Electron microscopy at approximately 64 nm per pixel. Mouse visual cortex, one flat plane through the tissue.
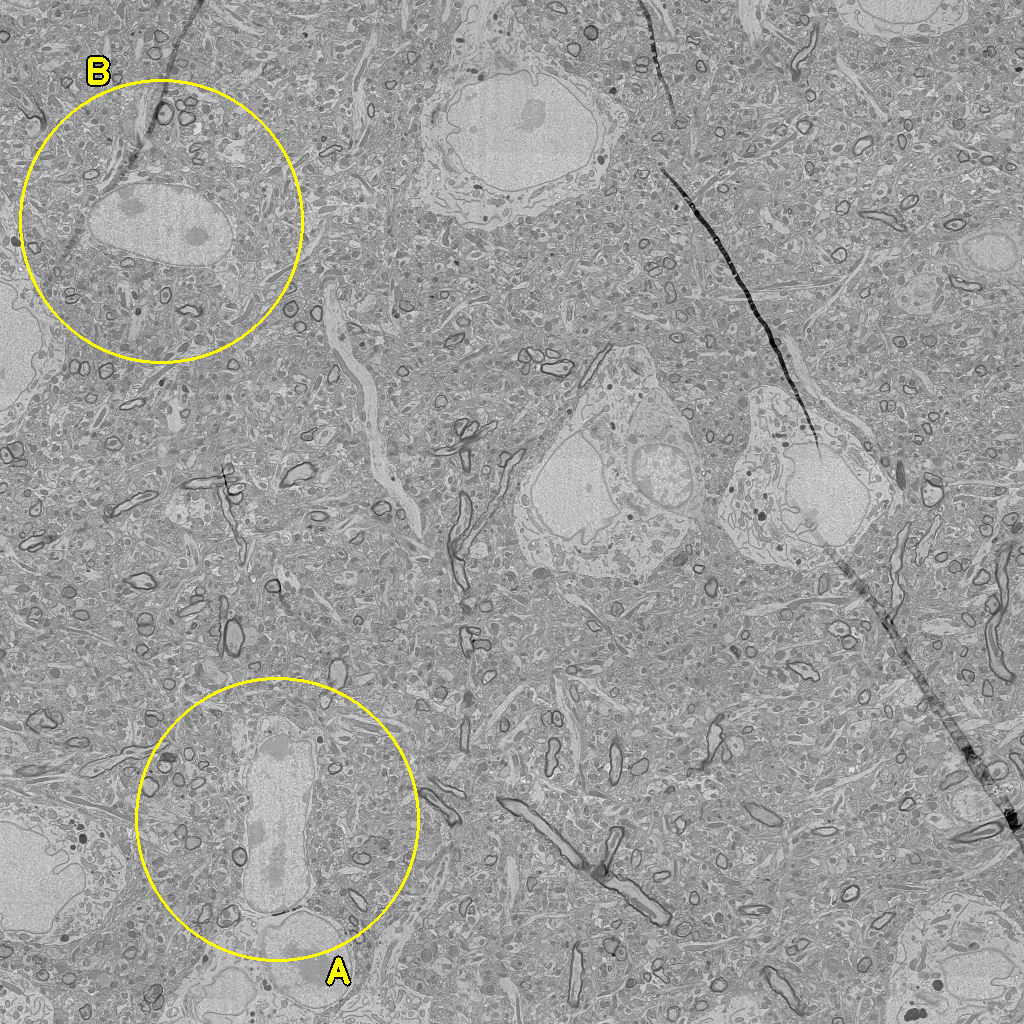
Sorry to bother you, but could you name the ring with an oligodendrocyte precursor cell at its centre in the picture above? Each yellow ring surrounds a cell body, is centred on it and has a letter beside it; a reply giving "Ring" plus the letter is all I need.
Ring A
